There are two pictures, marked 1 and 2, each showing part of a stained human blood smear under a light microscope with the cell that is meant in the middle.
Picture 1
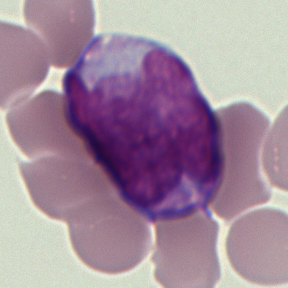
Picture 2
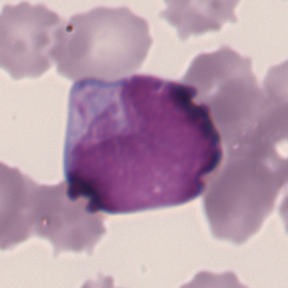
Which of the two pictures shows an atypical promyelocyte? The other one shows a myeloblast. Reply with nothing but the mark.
1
